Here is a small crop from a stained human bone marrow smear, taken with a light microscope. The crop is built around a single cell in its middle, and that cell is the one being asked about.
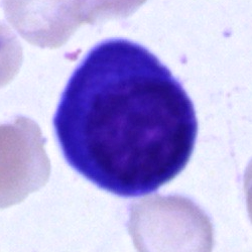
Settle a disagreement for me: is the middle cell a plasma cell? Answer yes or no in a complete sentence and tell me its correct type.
Yes, the cell of interest in the centre is a plasma cell.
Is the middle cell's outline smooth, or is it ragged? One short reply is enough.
Its periphery is smooth, and no projections arise from it.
